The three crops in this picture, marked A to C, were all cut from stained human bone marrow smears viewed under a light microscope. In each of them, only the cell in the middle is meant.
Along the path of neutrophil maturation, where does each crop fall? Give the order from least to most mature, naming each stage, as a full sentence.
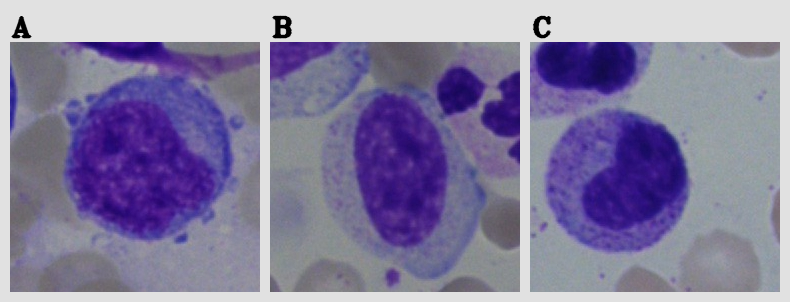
Ranked from least to most mature, the sequence is crop A (a promyelocyte), crop B (a myelocyte) and crop C (a metamyelocyte).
